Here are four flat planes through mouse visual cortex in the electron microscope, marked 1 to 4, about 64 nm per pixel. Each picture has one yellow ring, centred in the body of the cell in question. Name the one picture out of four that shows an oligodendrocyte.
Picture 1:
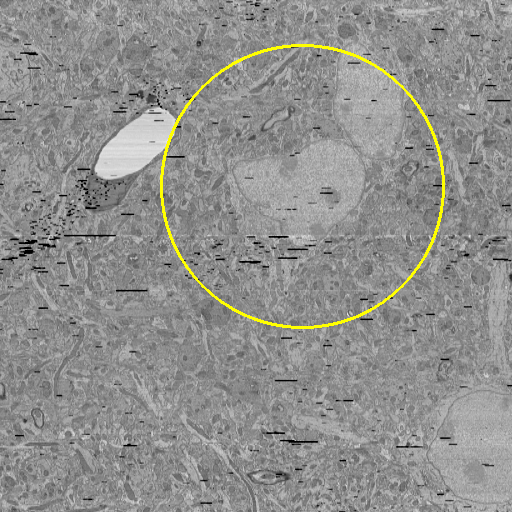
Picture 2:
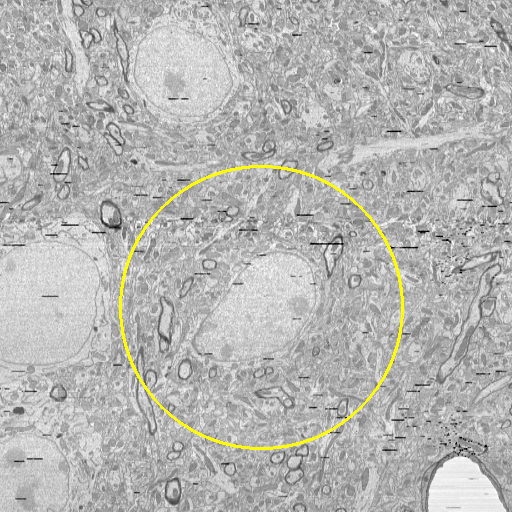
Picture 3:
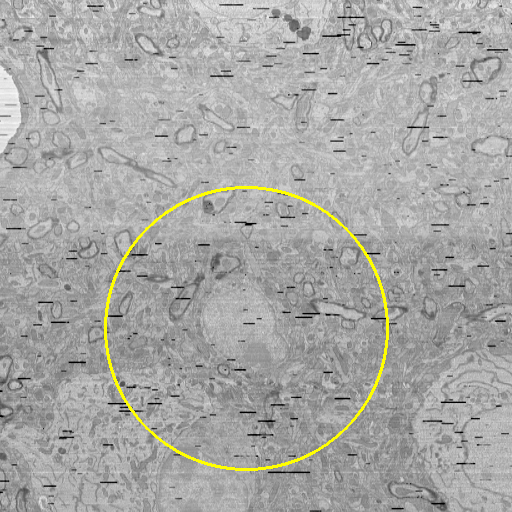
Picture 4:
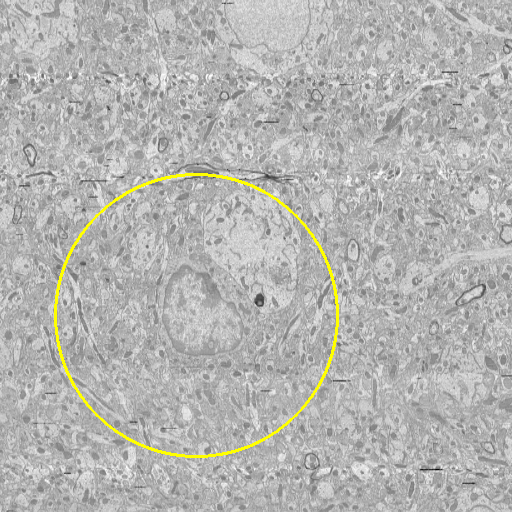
The cell in picture 4 is the oligodendrocyte.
